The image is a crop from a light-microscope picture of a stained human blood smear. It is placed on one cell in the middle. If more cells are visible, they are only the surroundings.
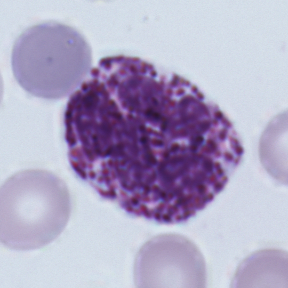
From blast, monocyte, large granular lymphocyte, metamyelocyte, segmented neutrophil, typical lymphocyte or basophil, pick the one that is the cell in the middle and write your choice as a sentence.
The central cell, amid any neighbouring cells, is a basophil.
